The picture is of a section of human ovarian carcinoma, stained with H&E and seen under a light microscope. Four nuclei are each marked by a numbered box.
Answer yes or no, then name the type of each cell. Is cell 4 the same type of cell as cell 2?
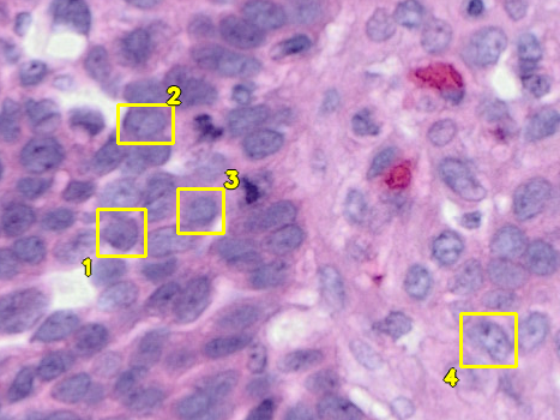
No, listen: cell 4 is a fibroblast and cell 2 is a carcinoma cell.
